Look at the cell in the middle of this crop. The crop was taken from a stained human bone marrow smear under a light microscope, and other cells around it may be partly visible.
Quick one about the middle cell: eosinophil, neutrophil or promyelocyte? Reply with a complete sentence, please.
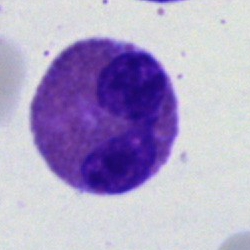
Here the centrally located cell is an eosinophil.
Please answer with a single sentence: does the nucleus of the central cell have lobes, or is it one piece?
Multiple nuclear lobes, two or more, can be counted in this cell.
